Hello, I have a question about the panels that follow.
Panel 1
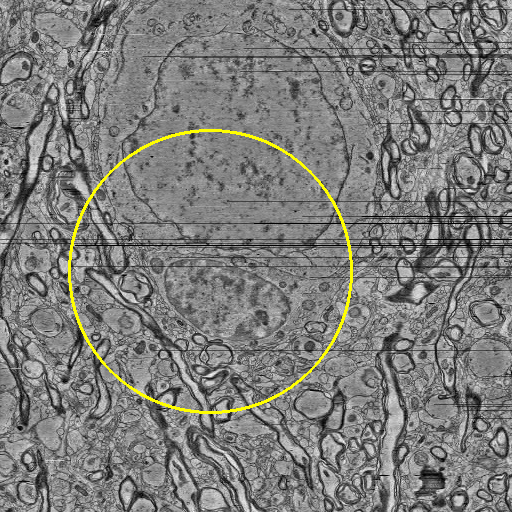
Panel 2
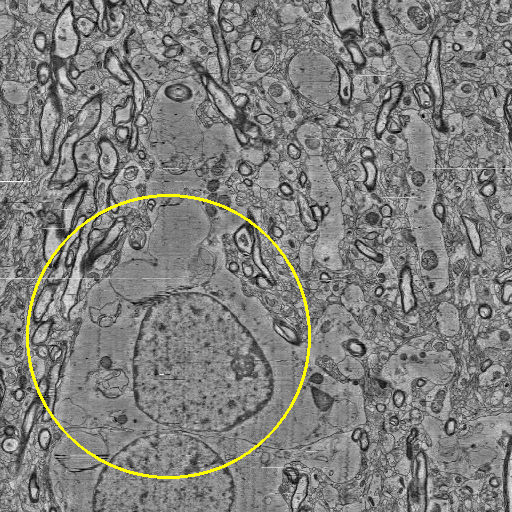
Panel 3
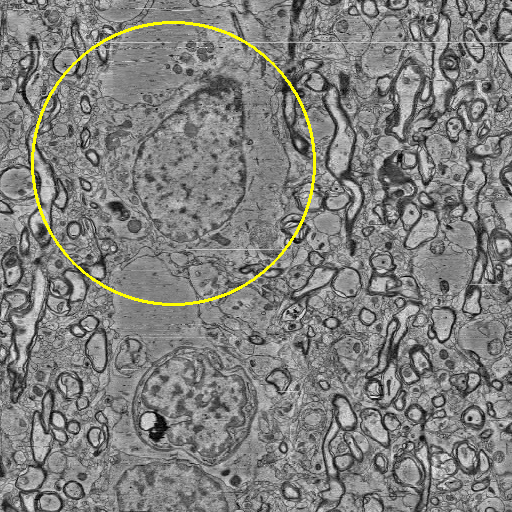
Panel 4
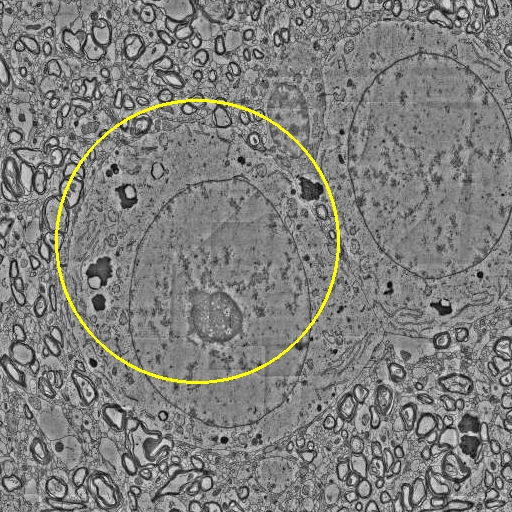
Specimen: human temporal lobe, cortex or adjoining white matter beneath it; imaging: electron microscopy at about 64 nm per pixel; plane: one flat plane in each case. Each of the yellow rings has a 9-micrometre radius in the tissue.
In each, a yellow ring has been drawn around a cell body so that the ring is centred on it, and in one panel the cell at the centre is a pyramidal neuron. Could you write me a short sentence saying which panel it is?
It is Panel 4.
